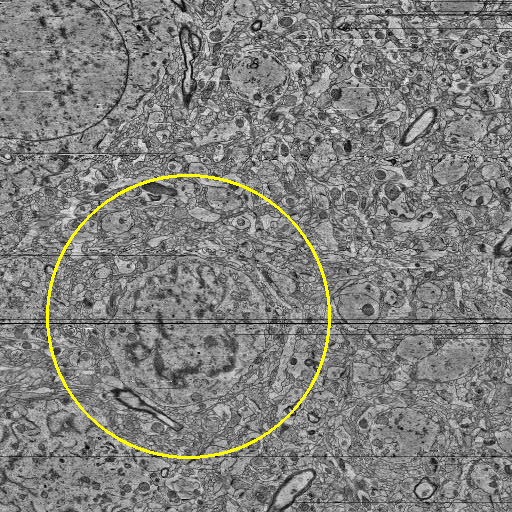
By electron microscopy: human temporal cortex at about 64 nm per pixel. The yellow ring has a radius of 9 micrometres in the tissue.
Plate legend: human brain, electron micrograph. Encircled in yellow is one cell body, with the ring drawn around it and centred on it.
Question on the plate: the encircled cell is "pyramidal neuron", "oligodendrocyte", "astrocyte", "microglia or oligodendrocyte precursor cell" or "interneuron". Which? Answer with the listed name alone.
interneuron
